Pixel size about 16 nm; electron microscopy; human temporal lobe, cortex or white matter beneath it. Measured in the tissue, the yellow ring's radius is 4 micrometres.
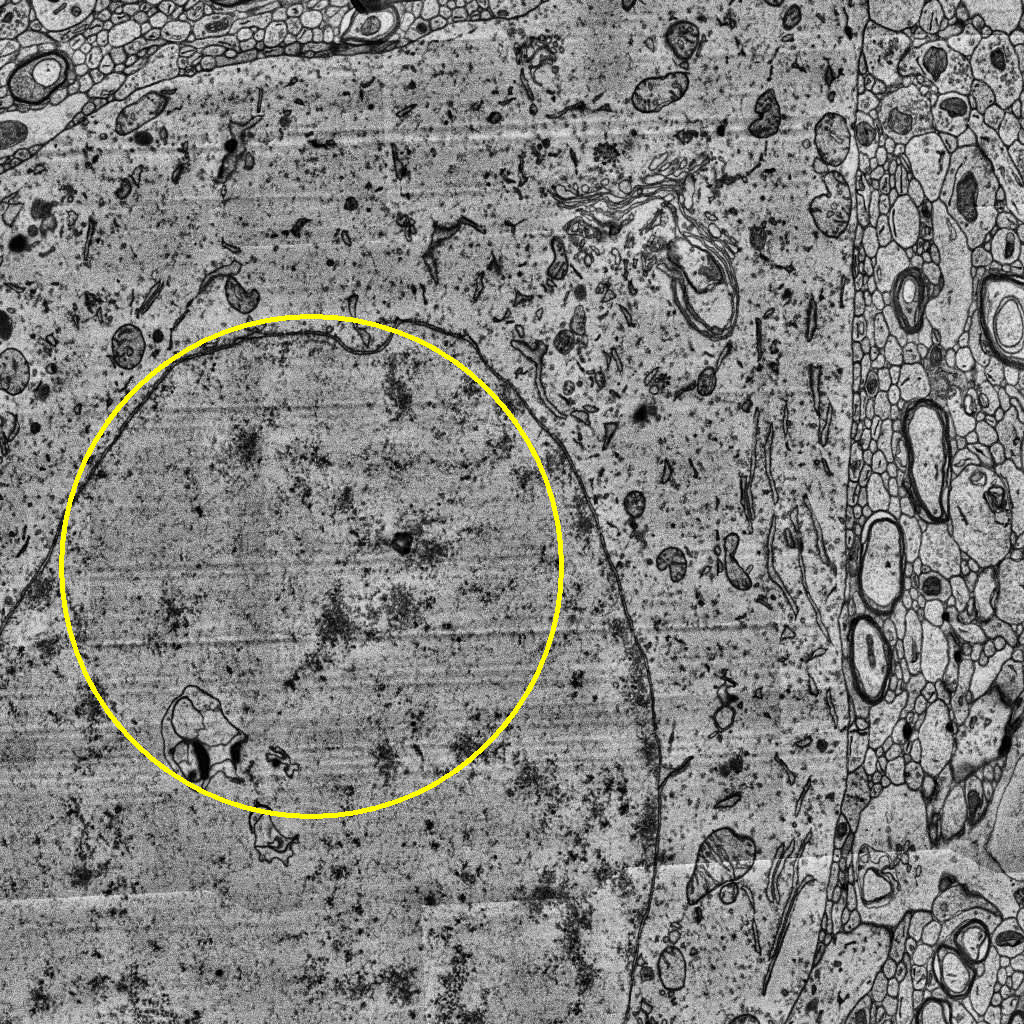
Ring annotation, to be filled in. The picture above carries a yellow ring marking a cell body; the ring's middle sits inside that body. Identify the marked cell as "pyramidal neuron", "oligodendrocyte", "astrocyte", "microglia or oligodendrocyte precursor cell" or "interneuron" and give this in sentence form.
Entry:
The cell at the middle of the ring is a pyramidal neuron.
